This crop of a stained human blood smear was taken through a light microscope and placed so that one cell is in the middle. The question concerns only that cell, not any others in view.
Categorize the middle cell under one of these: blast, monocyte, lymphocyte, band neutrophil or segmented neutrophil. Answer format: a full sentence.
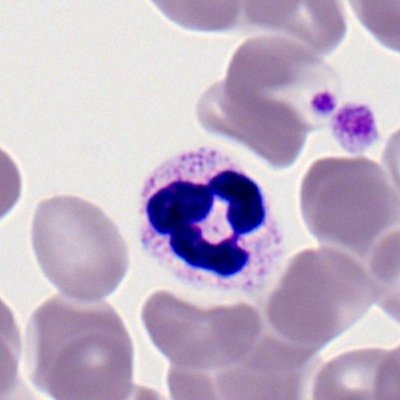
The cell under consideration, at the middle of the crop, is a segmented neutrophil.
